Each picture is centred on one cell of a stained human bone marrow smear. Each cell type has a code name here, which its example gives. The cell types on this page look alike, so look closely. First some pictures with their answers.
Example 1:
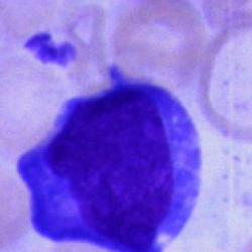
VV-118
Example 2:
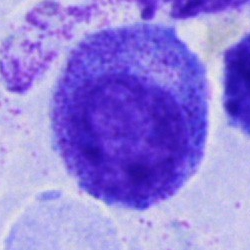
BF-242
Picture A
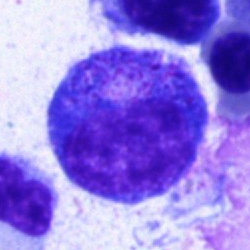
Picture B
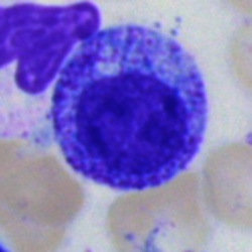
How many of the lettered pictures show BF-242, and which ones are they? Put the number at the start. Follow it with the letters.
Count: 2 (A, B)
